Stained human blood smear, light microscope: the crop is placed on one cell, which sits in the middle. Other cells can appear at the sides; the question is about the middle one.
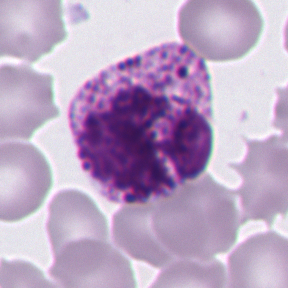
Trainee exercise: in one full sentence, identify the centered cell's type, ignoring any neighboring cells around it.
Of the cells in this crop, the central one is a basophil.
